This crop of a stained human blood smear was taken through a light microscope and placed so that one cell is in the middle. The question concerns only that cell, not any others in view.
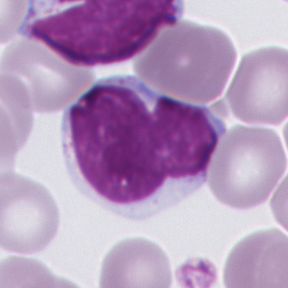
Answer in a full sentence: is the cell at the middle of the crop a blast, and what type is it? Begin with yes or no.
No, the central cell is a large granular lymphocyte, not a blast.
